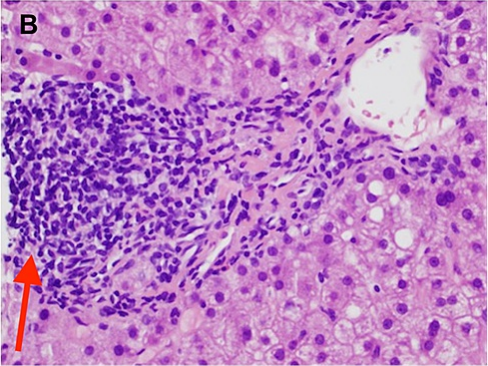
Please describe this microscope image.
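Portal area of liver with a dense inflammatory infiltrate. A compact sheet of small lymphocytes with dark round nuclei and scant cytoplasm fills the left and centre. Toward the upper right, elongated spindle-shaped nuclei run in streams within pink connective tissue beside a clear, irregular vascular lumen. Surrounding hepatocytes are polygonal with pale to clear, finely vacuolated cytoplasm and round nuclei. A few clear round vacuoles lie in hepatocytes at the right. The infiltrate abuts the adjacent hepatocyte plates.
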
